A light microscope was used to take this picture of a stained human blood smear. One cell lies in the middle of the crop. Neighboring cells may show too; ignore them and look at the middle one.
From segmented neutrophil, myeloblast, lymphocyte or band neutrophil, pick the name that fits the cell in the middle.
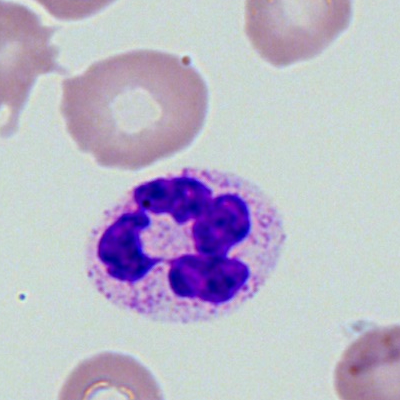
segmented neutrophil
